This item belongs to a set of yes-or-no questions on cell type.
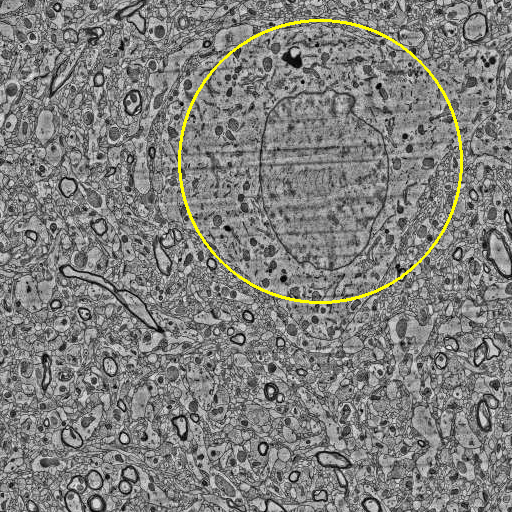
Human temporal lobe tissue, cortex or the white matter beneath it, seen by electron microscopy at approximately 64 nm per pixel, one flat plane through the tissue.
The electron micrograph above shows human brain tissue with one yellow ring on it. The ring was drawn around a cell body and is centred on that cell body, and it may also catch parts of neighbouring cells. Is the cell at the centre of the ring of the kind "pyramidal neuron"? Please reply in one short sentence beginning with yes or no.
Yes, that cell is of the named kind.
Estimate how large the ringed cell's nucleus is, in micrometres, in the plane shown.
The nucleus of the ringed cell is approximately 12 by 8 micrometres in this plane.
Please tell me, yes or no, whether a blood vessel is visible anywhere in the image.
No, no blood vessel can be seen.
